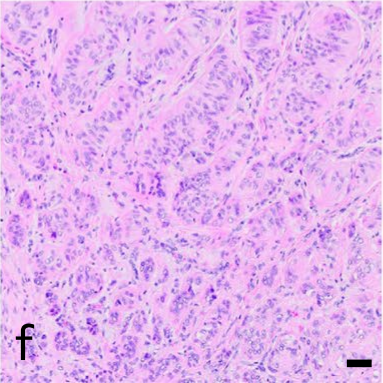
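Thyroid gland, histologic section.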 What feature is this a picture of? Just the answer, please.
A: Wide trabeculae or small nests delimited by stromal bundles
